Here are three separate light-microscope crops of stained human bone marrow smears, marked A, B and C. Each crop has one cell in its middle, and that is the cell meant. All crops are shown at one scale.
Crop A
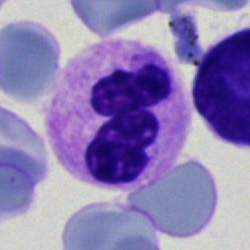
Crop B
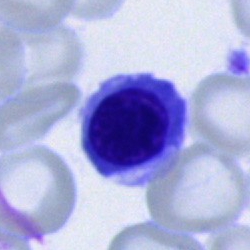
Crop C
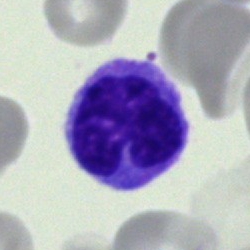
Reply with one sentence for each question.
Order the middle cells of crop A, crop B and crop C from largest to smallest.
Going down, they run A, C, B.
